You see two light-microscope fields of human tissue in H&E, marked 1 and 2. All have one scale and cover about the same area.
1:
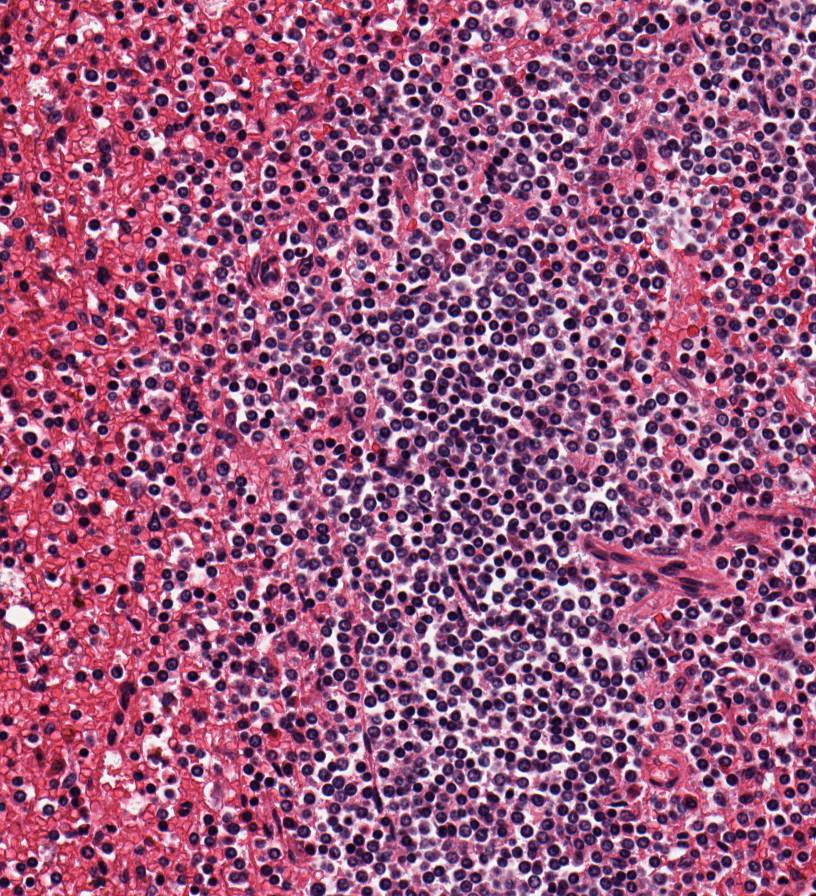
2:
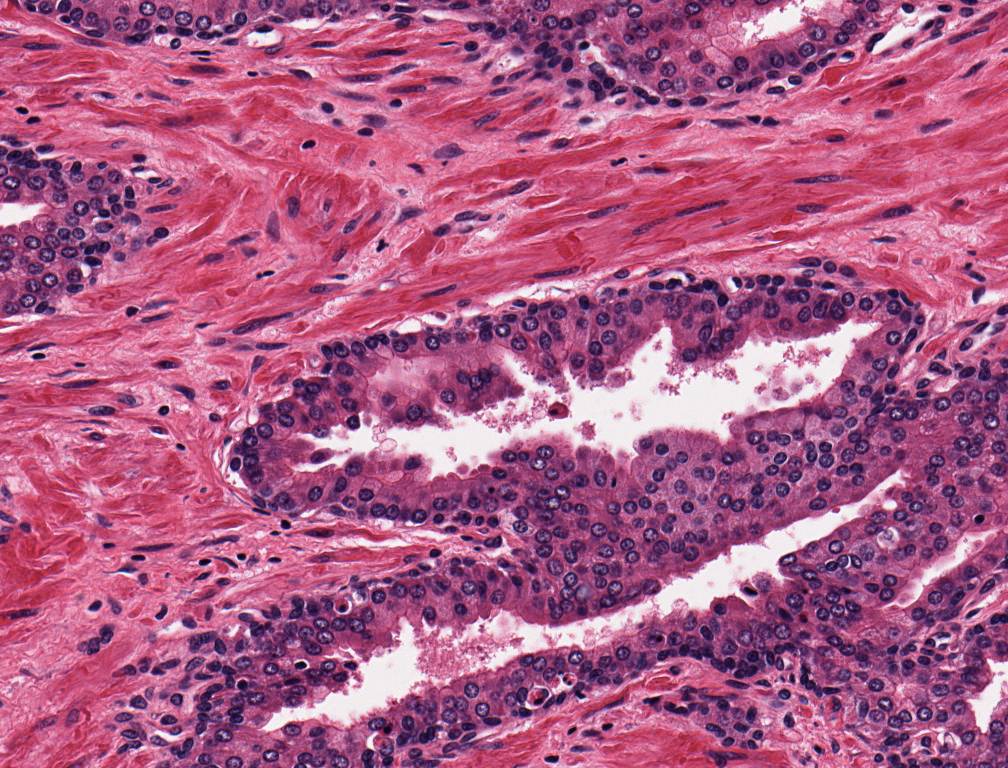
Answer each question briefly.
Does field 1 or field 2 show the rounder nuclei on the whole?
1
